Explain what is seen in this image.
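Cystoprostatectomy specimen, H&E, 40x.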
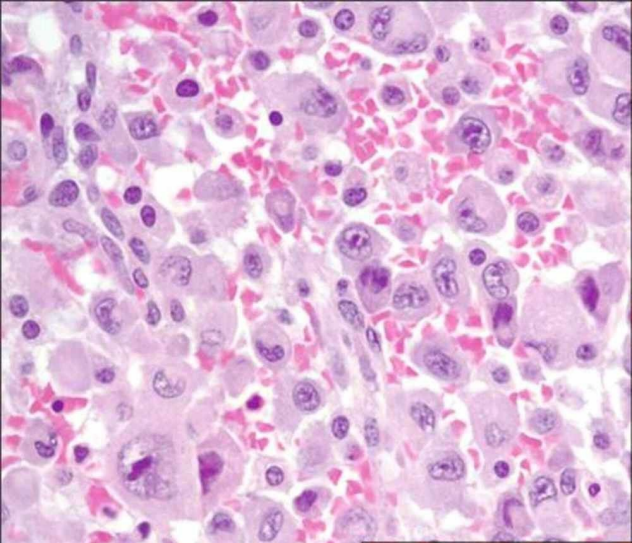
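This is a sheet of large, epithelioid, pleomorphic tumour cells lying loosely apart, not cohesive, with red blood cells scattered between them. Small dark round nuclei of interspersed inflammatory cells are also seen.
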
